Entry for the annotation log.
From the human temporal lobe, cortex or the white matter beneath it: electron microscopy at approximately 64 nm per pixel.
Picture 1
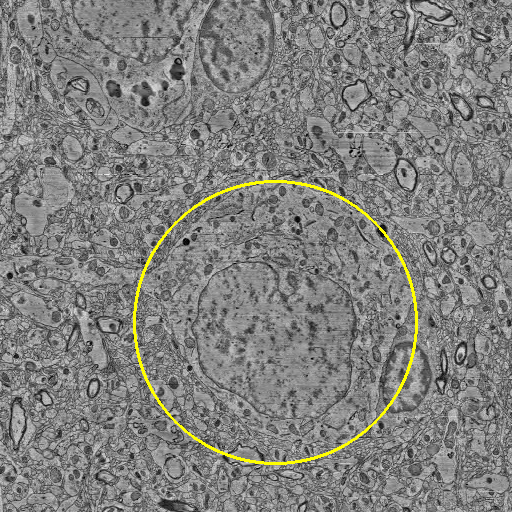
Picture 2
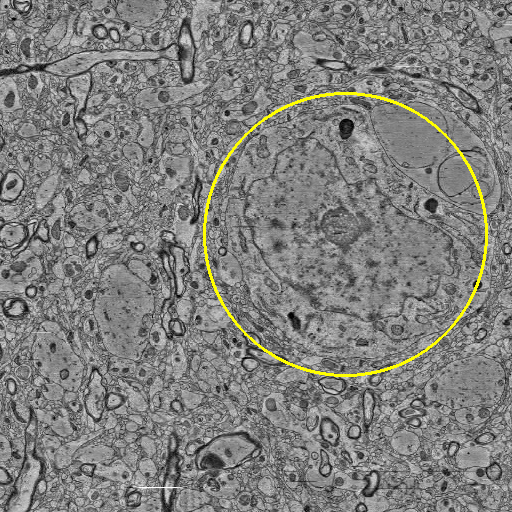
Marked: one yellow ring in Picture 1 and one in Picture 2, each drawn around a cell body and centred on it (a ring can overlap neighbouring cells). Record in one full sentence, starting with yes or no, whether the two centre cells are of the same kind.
Yes, both cells are of the same kind.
